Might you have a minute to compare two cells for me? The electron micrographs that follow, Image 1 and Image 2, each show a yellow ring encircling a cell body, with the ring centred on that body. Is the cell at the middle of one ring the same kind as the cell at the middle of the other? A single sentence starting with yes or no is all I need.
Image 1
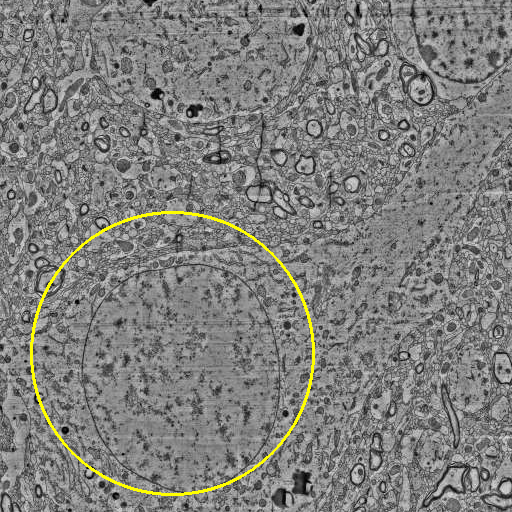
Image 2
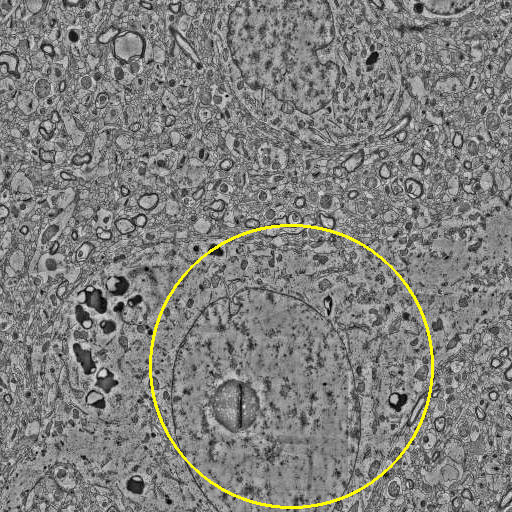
Yes, the cells in the middle of the two rings are of one shared kind.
